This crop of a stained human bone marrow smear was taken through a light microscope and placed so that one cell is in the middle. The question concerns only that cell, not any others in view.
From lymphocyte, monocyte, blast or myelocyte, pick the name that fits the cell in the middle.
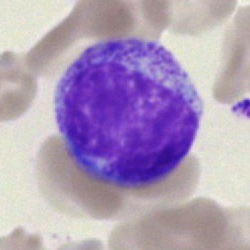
myelocyte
